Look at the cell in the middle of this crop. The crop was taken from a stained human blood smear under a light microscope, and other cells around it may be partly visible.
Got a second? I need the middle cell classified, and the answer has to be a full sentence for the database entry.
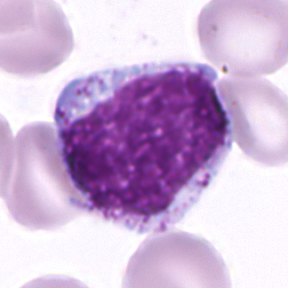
This crop has a myelocyte at its centre.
